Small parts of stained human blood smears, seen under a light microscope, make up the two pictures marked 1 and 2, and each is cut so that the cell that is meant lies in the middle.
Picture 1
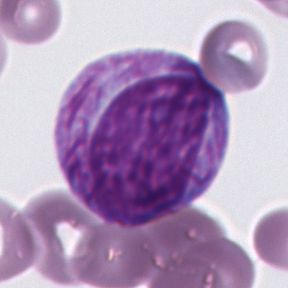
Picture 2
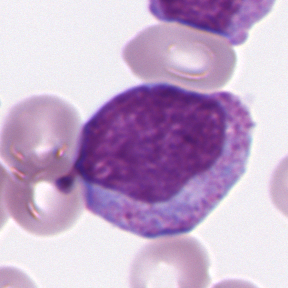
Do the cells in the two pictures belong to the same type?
yes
